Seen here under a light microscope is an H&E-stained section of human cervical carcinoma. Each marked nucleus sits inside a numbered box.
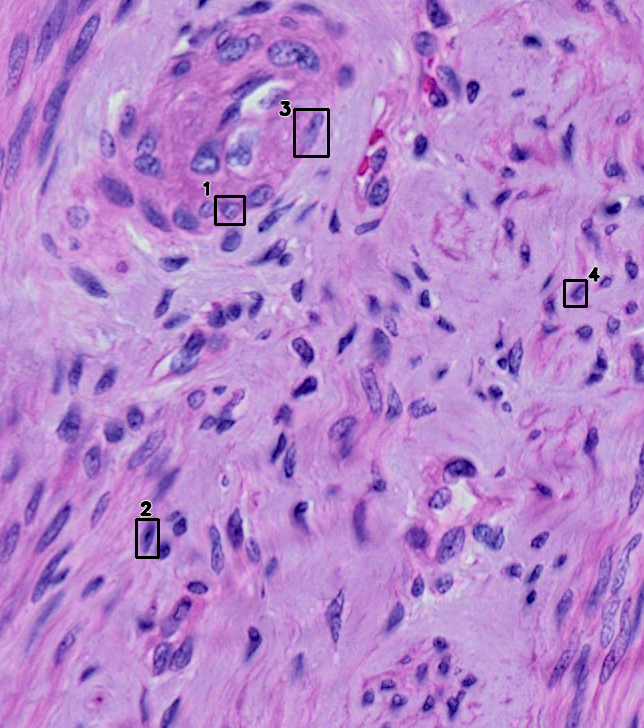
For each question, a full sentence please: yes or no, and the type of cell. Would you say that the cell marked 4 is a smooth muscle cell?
Yes, the cell whose nucleus carries number 4 is a smooth muscle cell.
